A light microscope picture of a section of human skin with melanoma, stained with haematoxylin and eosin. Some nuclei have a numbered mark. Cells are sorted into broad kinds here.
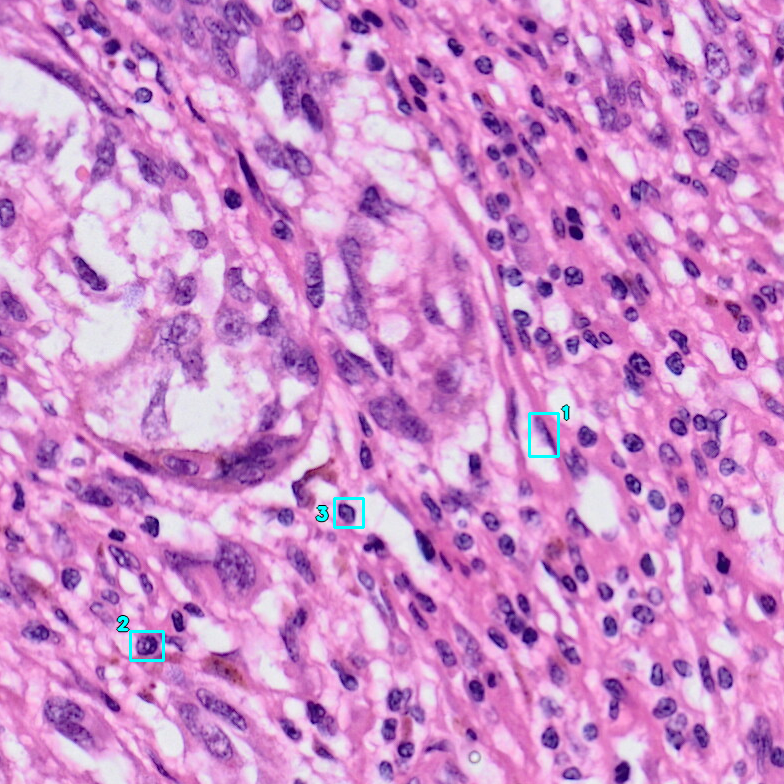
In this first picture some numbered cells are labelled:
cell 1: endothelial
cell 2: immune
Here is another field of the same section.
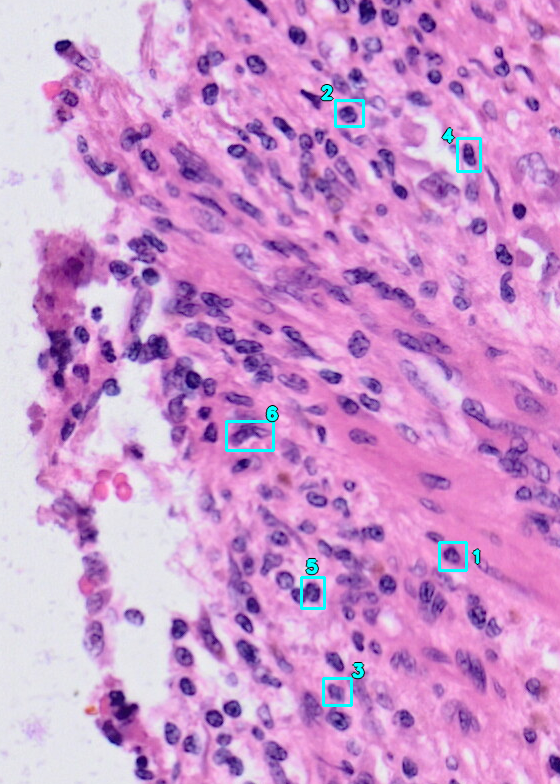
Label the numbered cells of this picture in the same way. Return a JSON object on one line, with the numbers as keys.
{"1": "immune", "2": "immune", "3": "immune", "4": "immune", "5": "immune", "6": "endothelial"}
